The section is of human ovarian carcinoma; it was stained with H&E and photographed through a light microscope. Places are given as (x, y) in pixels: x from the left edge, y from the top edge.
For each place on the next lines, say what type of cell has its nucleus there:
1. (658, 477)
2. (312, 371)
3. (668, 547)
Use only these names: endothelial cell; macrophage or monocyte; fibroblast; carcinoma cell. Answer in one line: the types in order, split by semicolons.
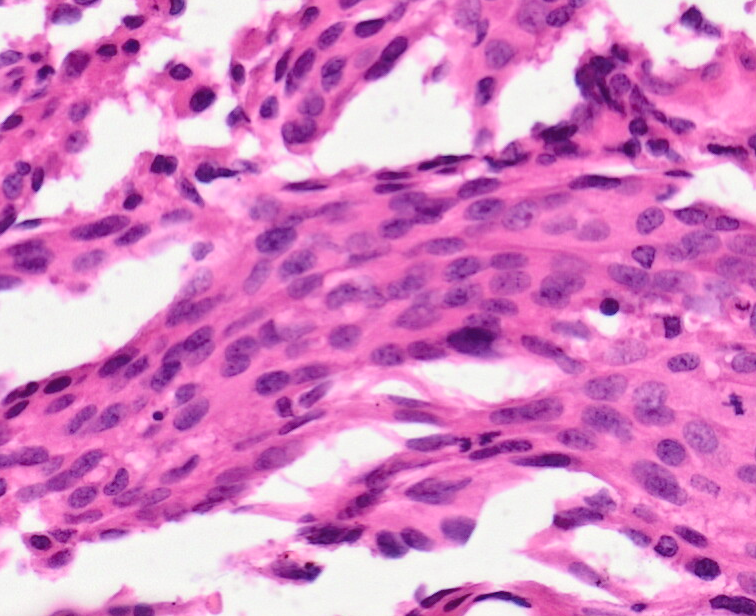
carcinoma cell; carcinoma cell; macrophage or monocyte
